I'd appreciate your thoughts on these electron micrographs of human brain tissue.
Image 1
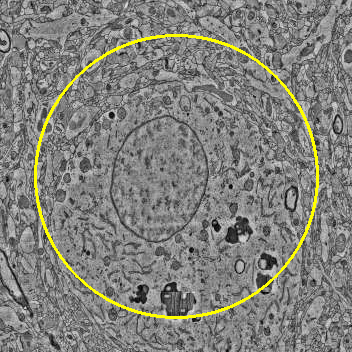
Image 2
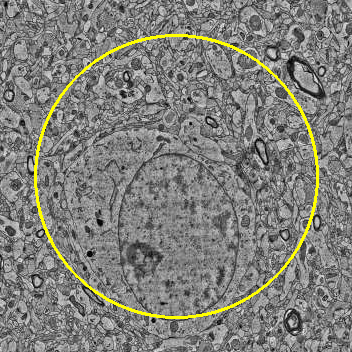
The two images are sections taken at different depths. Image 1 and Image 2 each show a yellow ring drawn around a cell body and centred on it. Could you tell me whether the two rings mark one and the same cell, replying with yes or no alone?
no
